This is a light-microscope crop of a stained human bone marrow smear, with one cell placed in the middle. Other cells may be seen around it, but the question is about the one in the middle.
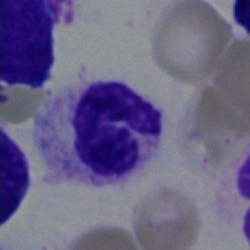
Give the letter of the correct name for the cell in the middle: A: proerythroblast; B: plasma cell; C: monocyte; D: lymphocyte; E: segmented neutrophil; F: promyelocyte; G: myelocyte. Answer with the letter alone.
E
